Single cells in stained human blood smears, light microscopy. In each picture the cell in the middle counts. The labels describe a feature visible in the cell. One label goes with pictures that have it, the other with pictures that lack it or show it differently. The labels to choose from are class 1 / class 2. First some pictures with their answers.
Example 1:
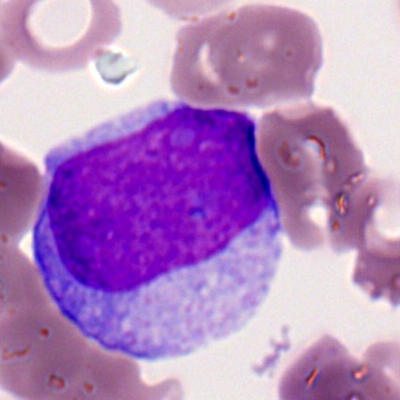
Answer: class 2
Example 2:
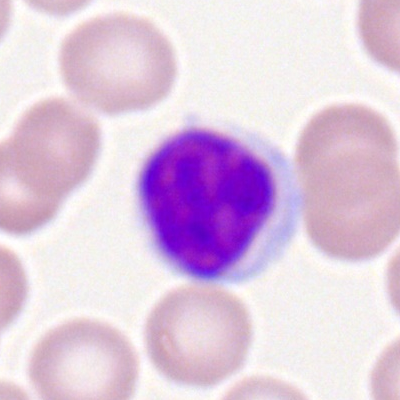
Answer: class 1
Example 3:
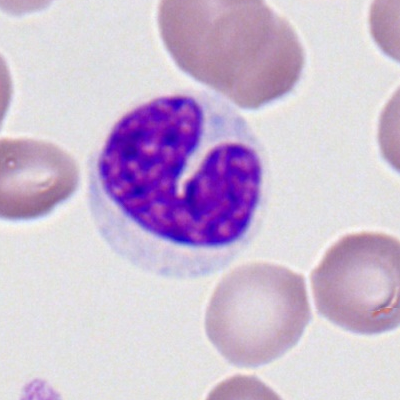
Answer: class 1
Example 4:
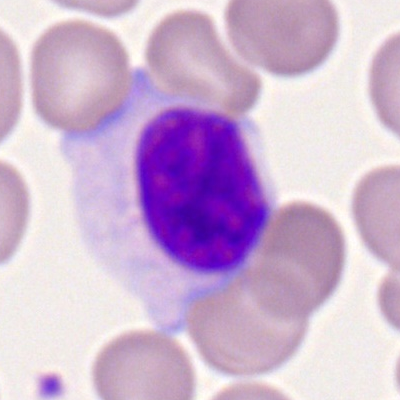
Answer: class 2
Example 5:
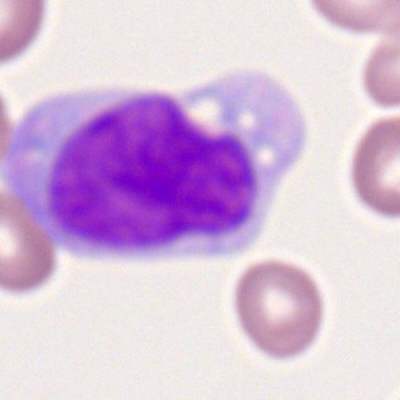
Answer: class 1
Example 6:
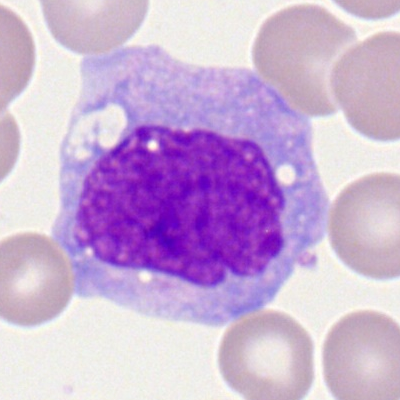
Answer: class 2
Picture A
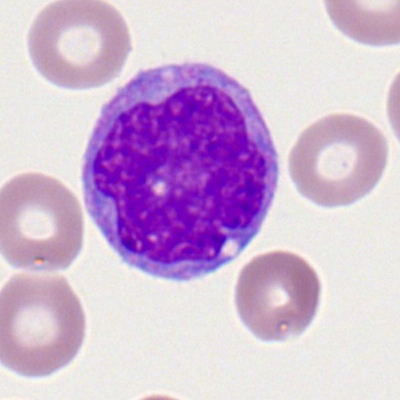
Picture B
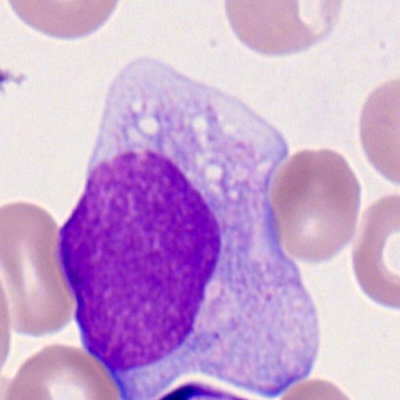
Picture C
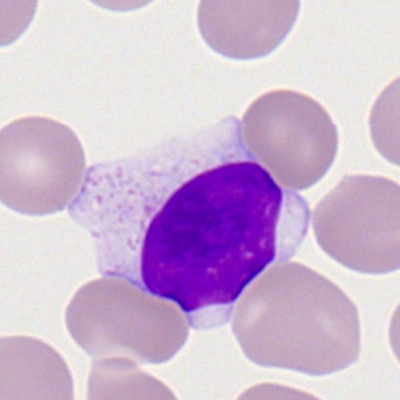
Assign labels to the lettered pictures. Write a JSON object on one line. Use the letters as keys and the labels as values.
{"A": "class 1", "B": "class 2", "C": "class 2"}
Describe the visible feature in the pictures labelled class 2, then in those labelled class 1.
class 2, abundant cytoplasm; class 1, scant cytoplasm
